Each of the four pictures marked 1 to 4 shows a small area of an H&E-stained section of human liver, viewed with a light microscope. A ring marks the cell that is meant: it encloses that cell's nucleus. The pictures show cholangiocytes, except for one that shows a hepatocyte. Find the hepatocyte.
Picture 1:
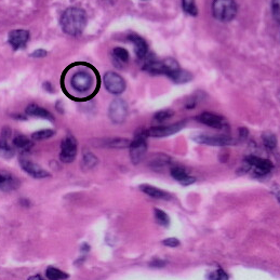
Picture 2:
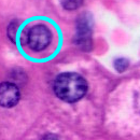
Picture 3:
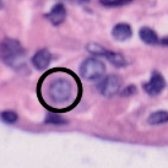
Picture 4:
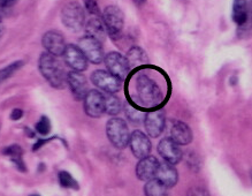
2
